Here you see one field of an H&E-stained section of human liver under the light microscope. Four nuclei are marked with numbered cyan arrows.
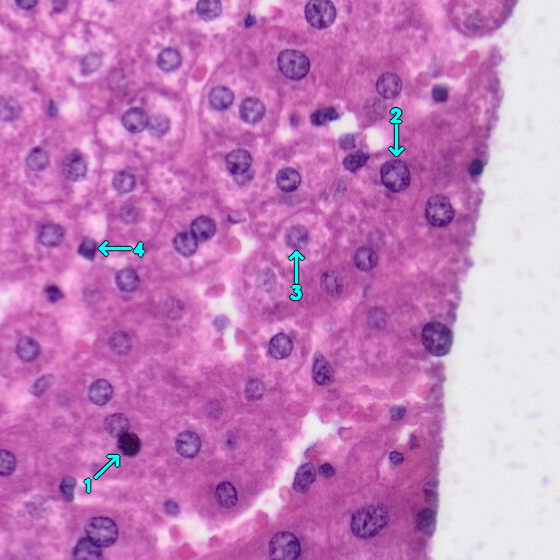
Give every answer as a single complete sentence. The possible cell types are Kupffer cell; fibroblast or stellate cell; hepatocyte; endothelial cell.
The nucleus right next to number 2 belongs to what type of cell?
Number 2 lies closest to the nucleus of a fibroblast or stellate cell.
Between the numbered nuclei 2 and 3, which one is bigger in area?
It is nucleus 2, which covers about 2 times the area of nucleus 3.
